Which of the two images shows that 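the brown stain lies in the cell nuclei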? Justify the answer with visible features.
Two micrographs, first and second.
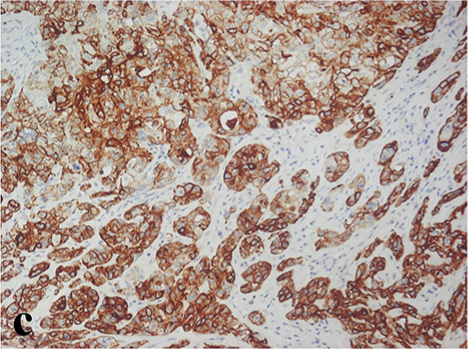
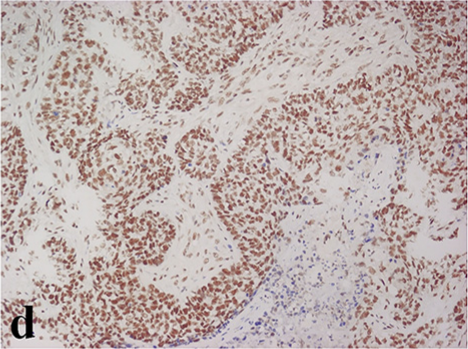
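Second image: nuclei are brown throughout the tumour nests. First image: brown stain fills cytoplasm and cell borders while nuclei stay blue.
Hence: the second image.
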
